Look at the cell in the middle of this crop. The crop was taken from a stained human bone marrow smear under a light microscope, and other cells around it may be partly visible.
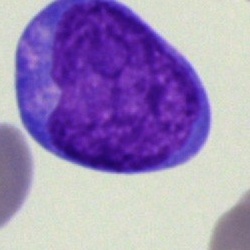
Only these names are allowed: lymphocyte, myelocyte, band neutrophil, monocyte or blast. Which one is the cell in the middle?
blast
